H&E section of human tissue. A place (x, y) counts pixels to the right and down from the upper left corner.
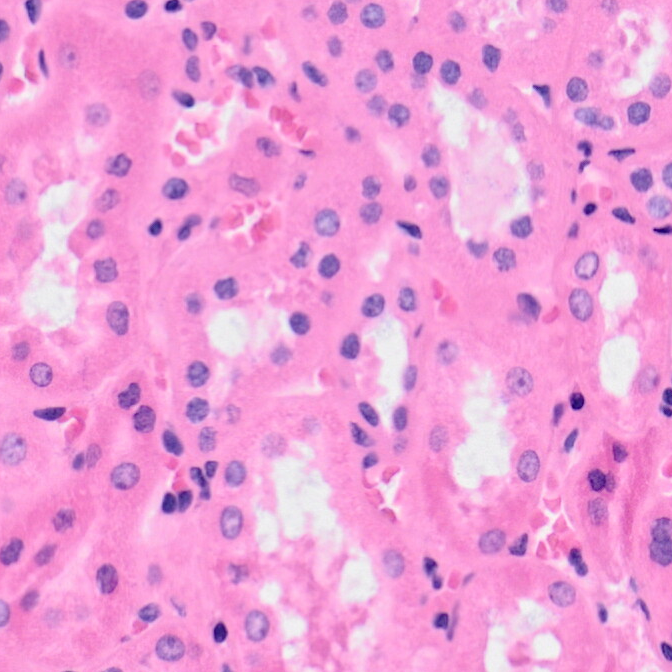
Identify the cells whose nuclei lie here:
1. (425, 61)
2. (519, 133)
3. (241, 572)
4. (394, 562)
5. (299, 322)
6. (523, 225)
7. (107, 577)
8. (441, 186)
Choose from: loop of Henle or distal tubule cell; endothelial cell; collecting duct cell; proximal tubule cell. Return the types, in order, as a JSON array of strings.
["loop of Henle or distal tubule cell", "loop of Henle or distal tubule cell", "proximal tubule cell", "proximal tubule cell", "loop of Henle or distal tubule cell", "loop of Henle or distal tubule cell", "proximal tubule cell", "loop of Henle or distal tubule cell"]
